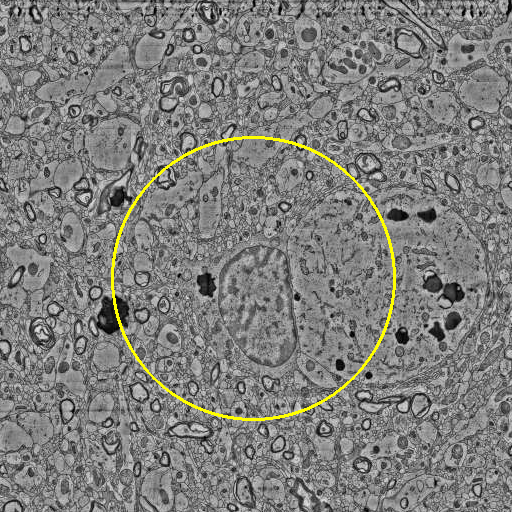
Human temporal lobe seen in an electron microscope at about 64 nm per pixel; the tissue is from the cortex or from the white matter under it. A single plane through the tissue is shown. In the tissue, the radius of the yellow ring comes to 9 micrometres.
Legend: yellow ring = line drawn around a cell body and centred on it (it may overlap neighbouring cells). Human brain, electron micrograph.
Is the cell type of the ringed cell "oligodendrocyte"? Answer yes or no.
yes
